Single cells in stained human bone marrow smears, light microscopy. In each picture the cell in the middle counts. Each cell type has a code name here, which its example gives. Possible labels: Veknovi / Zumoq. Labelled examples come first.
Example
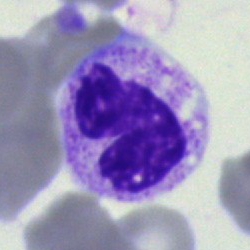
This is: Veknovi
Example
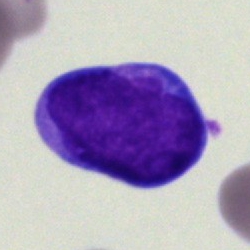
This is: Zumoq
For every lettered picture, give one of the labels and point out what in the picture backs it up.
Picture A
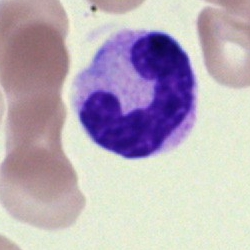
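Answer: Veknovi. The chromatin is dark purple and coarsely clumped.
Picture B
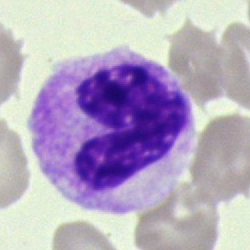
Answer: Veknovi. The chromatin is dark purple and coarsely clumped.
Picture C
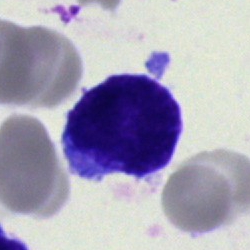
Answer: Zumoq. The nucleus fills most of the cell.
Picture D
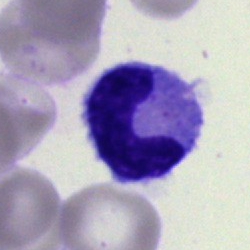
Answer: Veknovi. The nucleus is curved into a C shape whose hollow opens toward the right.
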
